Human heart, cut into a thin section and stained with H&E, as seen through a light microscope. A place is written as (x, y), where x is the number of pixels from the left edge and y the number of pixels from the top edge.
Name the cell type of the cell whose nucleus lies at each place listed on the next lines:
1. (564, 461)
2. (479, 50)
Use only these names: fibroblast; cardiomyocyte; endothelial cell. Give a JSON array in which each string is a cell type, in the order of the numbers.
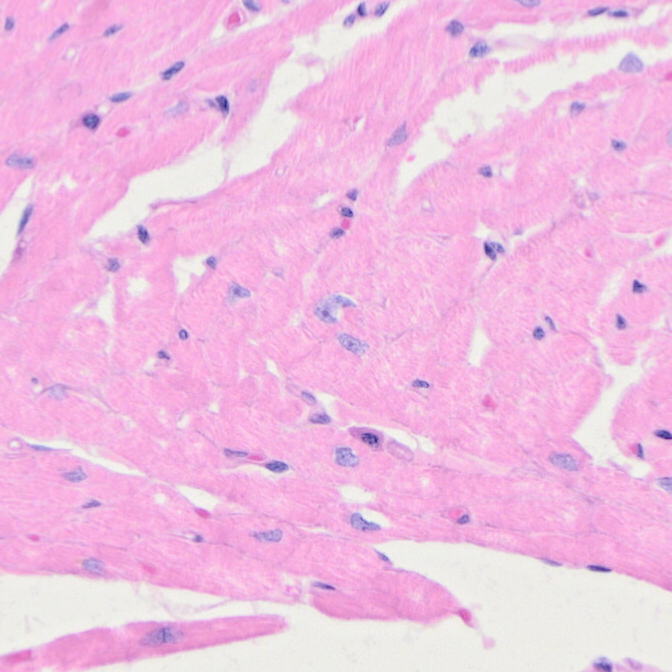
["cardiomyocyte", "fibroblast"]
